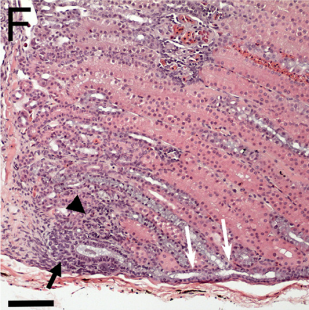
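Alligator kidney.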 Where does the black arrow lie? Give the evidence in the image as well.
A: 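The black arrow points to a crowded region of small, darkly stained nuclei at the capsule. This region is more cell-dense than the tubules around it. That points to this answer: zones of nephrogenesis.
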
